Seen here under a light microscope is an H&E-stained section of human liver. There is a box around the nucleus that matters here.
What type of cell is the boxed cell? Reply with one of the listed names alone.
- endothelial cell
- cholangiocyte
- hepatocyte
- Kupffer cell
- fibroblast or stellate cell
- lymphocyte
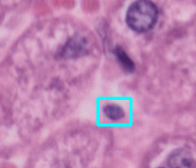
lymphocyte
